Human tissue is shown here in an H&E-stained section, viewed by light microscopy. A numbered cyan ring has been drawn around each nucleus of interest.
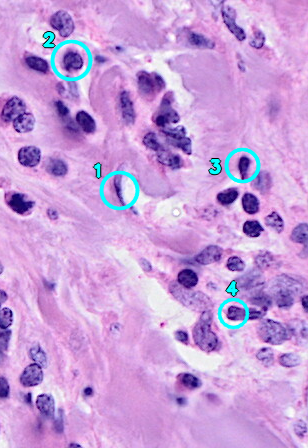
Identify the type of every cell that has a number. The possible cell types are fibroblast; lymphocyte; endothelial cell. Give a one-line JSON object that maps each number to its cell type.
{"1": "fibroblast", "2": "lymphocyte", "3": "lymphocyte", "4": "lymphocyte"}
